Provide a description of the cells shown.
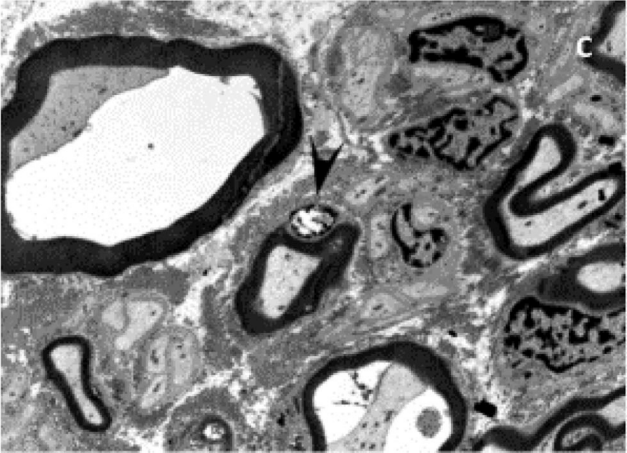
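This electron micrograph shows a cross-section of peripheral nerve with myelinated fibres of different sizes, their myelin sheaths appearing as thick black rings around paler axons. Some profiles have collapsed, folded or irregular sheaths, and several show dense black, irregularly contoured material. Between the fibres lie greyish Schwann cell cytoplasm and endoneurial tissue. Against the outside of the sheath of one small fibre sits a tiny inclusion with whorled dark and pale material. The large fibre on the left has a wide, very pale axon within its dark sheath.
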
